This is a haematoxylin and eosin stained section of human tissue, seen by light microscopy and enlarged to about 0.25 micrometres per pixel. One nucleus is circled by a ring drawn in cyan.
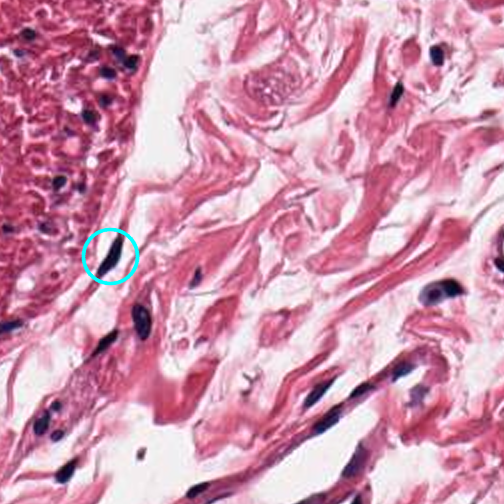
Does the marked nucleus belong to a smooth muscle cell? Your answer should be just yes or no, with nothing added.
no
